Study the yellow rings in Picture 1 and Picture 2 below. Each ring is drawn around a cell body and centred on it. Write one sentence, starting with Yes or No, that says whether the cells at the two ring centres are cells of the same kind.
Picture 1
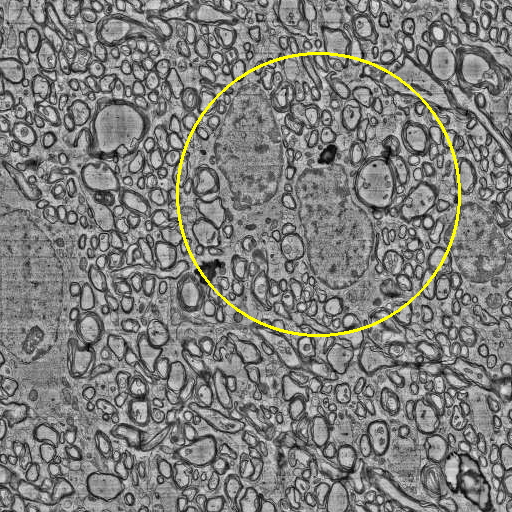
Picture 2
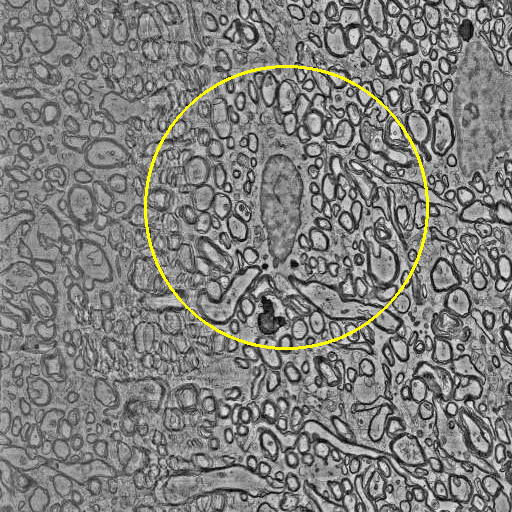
Yes, the cells at both ring centres are of the same kind.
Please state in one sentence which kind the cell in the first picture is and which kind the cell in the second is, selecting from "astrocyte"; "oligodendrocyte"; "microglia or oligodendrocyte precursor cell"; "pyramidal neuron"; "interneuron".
Each of the two rings surrounds an oligodendrocyte.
